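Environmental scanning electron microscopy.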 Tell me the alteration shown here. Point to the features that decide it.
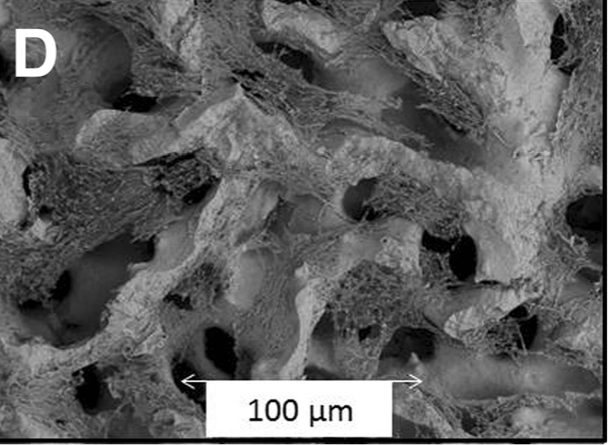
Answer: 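Tissue is covering the scaffold and partially filling the pores. Sheet-like and fibrous material spreads over the porous scaffold. Several pores are partly filled with fibrous material, others remain dark and open.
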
